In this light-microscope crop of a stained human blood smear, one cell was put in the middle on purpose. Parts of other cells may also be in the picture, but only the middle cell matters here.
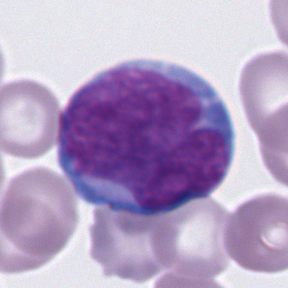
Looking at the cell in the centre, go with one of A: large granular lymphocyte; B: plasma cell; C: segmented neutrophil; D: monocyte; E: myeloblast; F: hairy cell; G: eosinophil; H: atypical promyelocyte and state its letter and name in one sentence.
The correct identification, given in option E, is that the central cell is a myeloblast.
